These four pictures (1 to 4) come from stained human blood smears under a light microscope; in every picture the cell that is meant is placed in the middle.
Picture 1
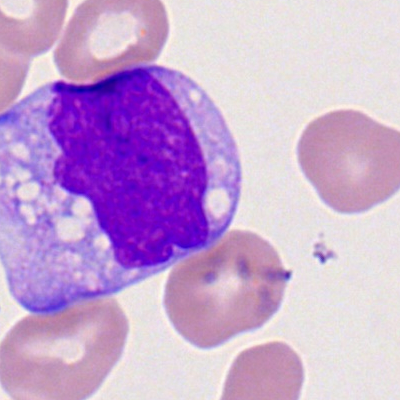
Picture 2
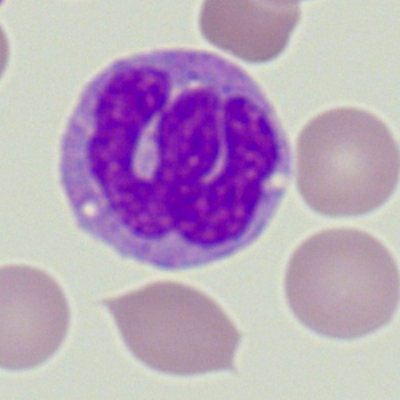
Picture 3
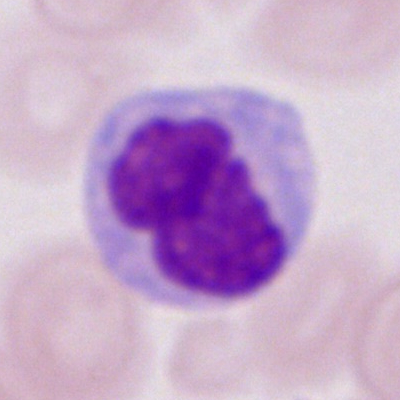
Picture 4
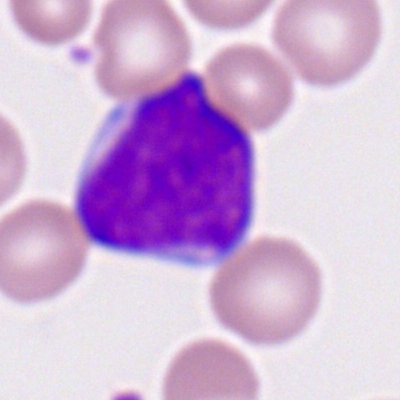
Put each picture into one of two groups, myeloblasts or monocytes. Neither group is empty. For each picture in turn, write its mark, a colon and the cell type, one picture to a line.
1: monocyte
2: monocyte
3: monocyte
4: myeloblast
